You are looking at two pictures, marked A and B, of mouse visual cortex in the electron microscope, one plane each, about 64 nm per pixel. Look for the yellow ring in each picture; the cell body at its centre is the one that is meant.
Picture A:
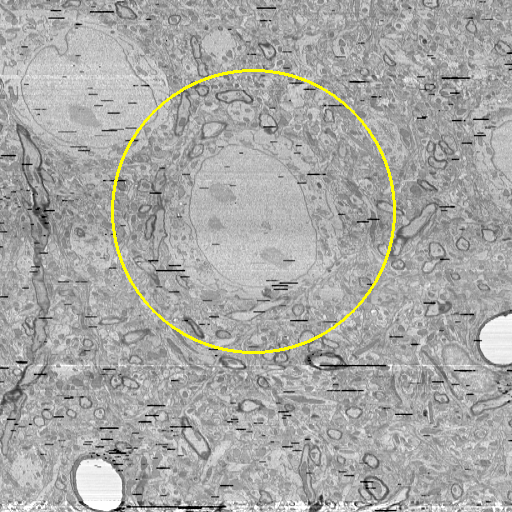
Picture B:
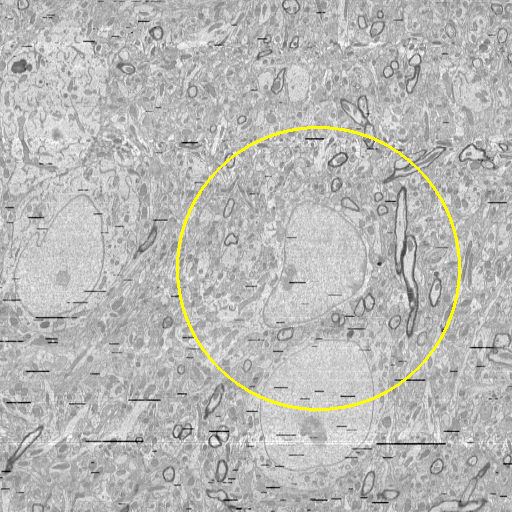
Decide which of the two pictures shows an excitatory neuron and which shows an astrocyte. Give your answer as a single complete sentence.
In picture A the cell is an excitatory neuron; in picture B, an astrocyte.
